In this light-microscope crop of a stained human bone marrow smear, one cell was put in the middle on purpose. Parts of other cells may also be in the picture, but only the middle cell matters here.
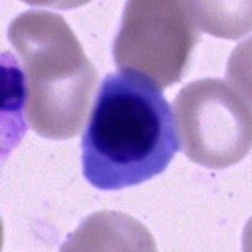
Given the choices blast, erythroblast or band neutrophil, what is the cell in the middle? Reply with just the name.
erythroblast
